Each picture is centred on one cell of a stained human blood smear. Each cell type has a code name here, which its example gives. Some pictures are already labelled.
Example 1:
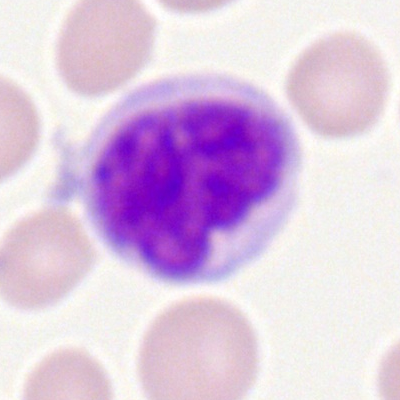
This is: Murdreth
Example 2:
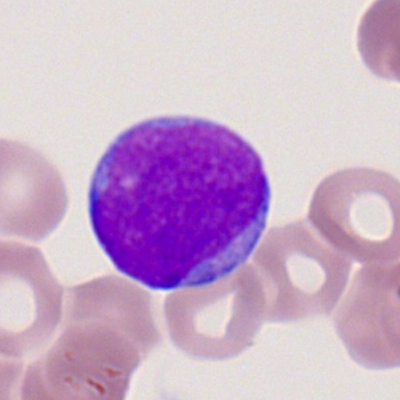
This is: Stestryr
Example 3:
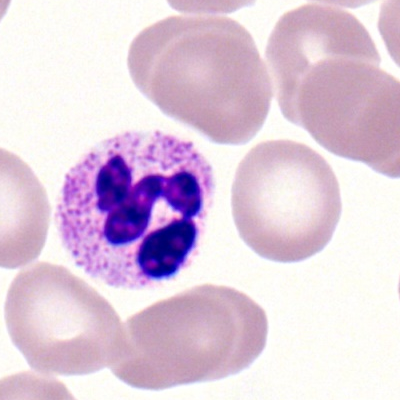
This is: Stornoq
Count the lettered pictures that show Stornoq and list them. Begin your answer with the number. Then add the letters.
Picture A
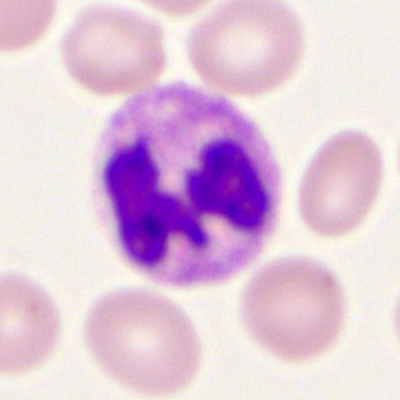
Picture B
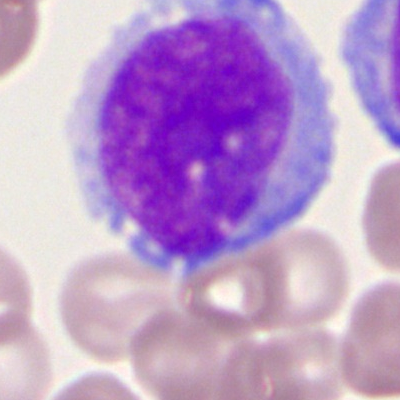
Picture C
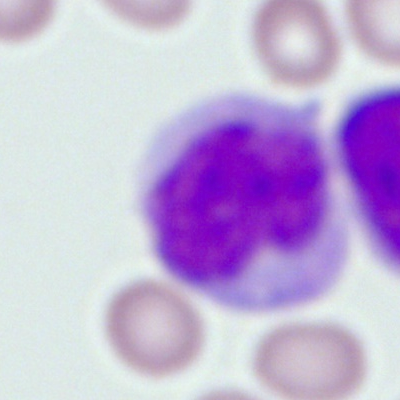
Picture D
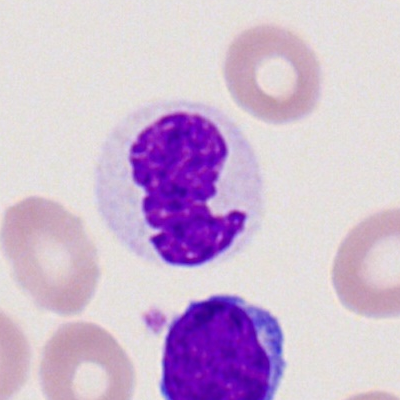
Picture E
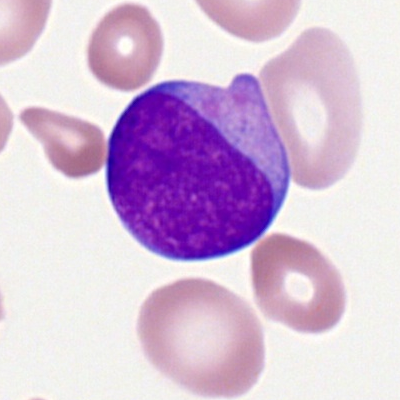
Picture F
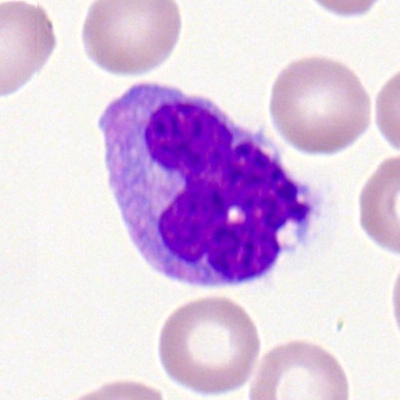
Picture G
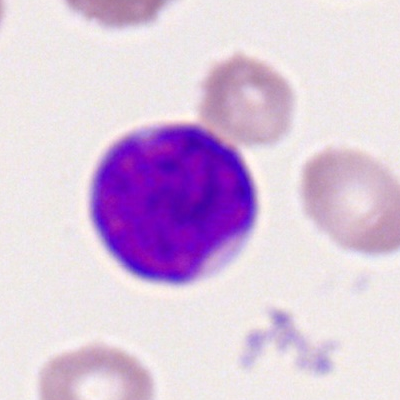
2, namely A, D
